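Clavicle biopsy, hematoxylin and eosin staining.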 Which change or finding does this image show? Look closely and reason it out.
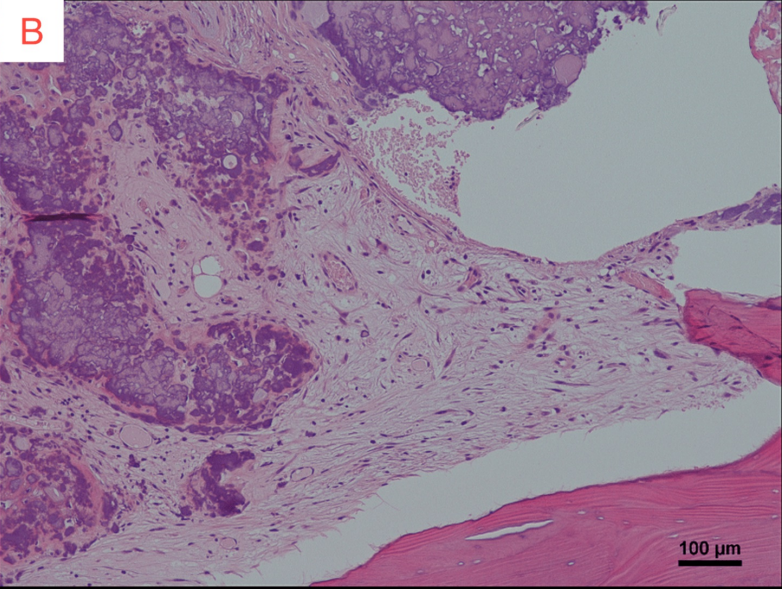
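Mucinous and fibrous changes. Pale pink wavy collagenous stroma with scattered spindle-shaped nuclei fills the intertrabecular space. Large purple-blue bubbly lobular deposits lie within the stroma. Pink bone fragments border the space at the right and bottom.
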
